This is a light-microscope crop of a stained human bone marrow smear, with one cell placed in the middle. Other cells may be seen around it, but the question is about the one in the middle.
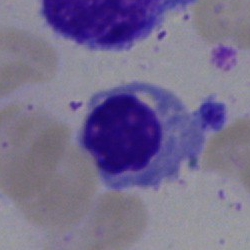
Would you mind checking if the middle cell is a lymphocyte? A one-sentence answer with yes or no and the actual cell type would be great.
No, the central cell is not a lymphocyte; it is an erythroblast.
